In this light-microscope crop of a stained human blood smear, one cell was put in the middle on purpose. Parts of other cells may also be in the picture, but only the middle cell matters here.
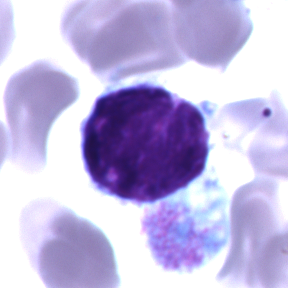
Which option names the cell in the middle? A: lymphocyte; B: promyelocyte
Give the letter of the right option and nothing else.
A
